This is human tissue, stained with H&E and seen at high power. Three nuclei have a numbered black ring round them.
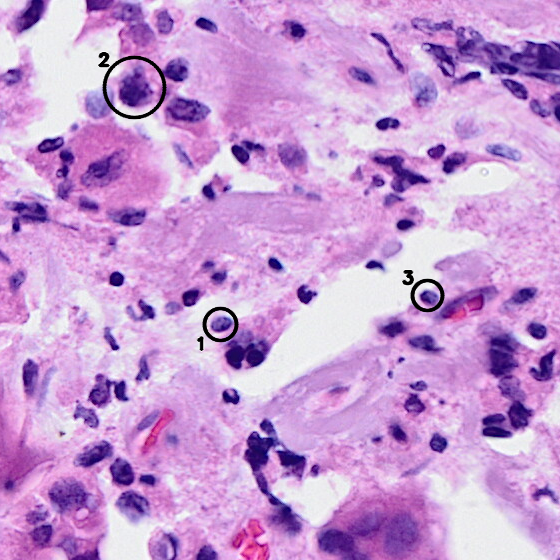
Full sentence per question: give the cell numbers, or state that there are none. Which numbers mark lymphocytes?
The cells numbered 1 and 3 fall into the category of lymphocytes.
